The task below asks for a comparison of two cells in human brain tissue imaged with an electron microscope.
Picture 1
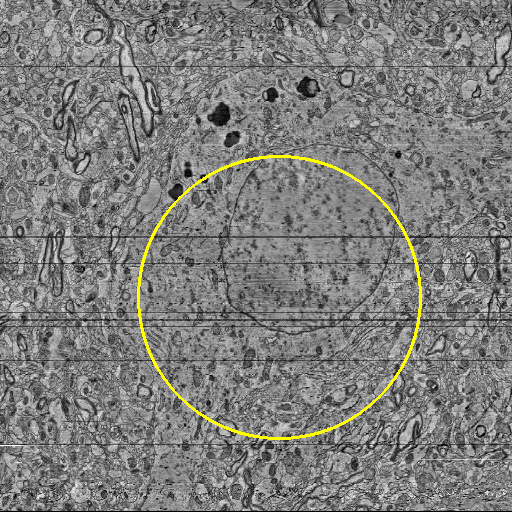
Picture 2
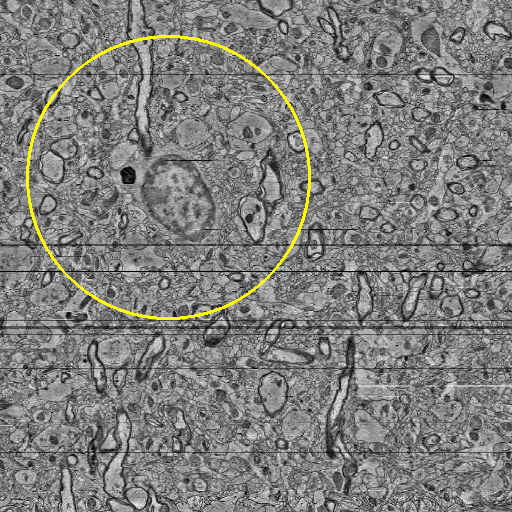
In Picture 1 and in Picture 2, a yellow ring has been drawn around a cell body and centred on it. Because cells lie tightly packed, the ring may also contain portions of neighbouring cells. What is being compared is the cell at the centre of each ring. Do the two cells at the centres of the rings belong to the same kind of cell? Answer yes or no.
no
